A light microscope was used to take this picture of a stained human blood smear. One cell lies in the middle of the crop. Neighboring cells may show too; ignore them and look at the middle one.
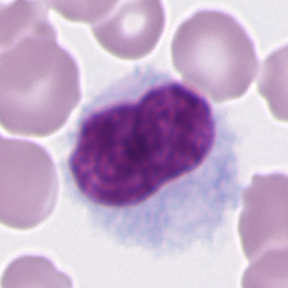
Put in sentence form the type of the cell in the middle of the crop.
The cell in the exact centre of the crop is a hairy cell.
